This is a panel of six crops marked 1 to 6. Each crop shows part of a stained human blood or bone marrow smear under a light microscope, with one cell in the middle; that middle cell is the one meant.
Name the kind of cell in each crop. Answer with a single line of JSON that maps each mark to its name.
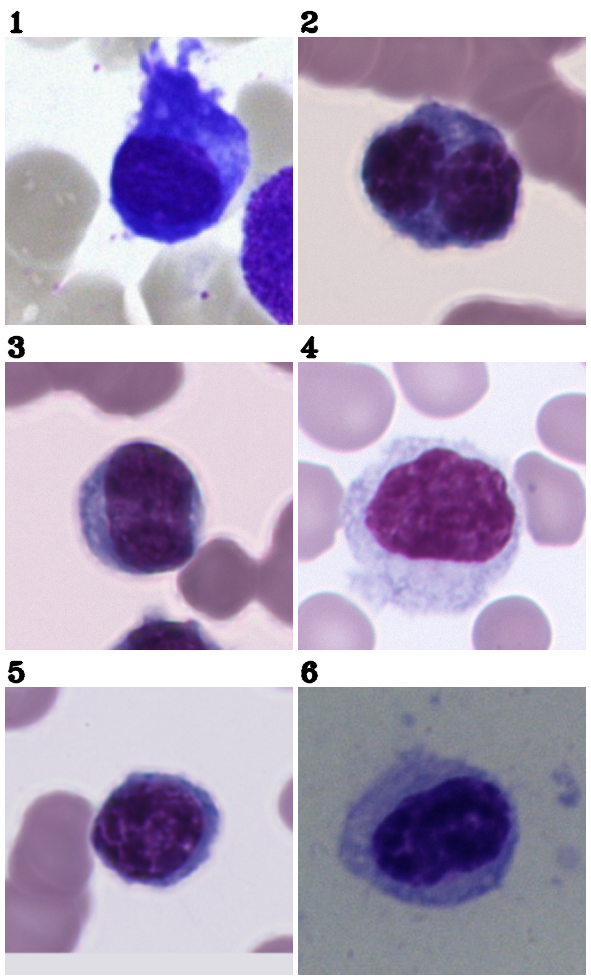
{"1": "plasma cell", "2": "plasma cell", "3": "plasma cell", "4": "hairy cell", "5": "plasma cell", "6": "hairy cell"}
